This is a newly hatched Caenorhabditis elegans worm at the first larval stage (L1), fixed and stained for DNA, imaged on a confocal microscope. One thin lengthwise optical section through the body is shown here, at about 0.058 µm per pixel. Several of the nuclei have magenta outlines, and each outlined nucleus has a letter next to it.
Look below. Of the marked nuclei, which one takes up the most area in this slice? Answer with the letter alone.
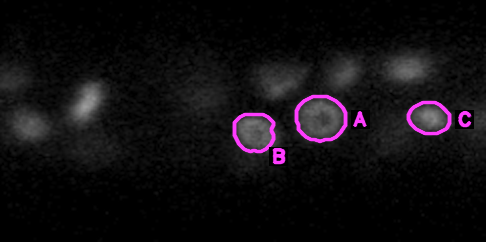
A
